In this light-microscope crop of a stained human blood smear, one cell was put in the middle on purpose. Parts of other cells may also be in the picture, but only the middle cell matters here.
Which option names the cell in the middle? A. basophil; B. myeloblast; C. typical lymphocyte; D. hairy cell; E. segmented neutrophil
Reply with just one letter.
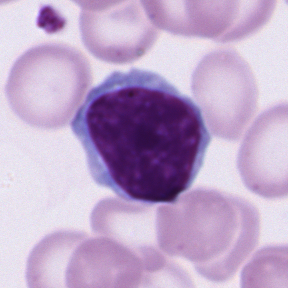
C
